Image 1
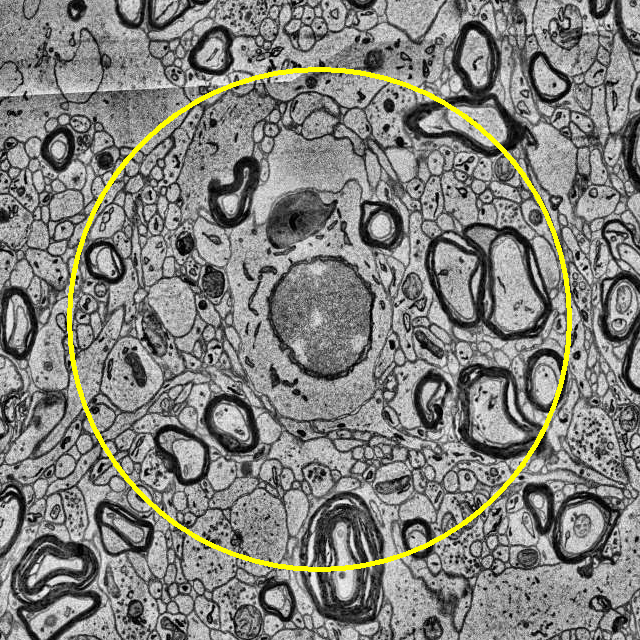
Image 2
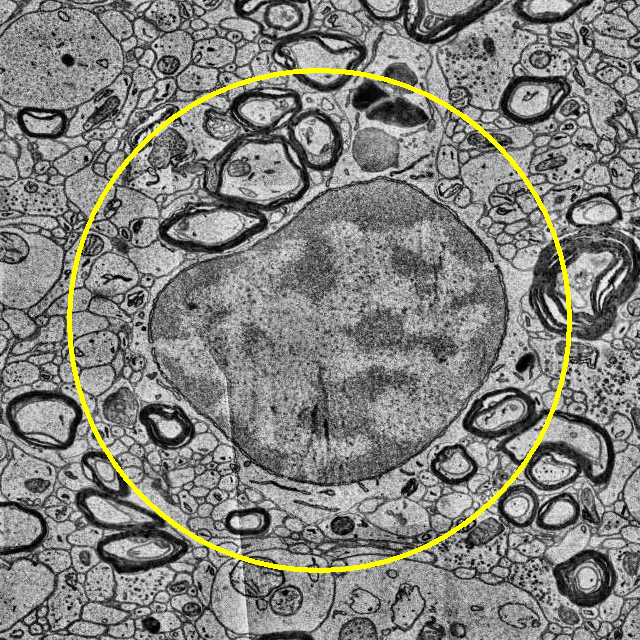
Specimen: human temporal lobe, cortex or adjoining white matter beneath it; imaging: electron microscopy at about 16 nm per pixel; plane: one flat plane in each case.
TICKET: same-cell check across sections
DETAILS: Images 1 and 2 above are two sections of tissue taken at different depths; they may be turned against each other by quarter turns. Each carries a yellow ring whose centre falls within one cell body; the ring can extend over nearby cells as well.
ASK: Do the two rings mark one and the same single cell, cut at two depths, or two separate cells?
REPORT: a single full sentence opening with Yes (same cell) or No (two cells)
Yes, the marked cell is the same in both rings.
